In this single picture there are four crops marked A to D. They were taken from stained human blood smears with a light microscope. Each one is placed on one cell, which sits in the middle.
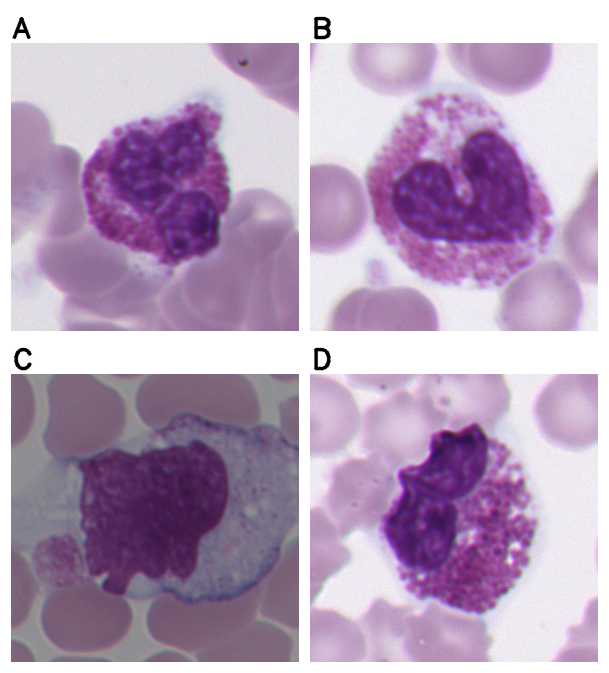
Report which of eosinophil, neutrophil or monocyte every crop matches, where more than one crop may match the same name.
A: eosinophil
B: eosinophil
C: monocyte
D: eosinophil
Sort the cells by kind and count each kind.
eosinophil: 3
monocyte: 1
